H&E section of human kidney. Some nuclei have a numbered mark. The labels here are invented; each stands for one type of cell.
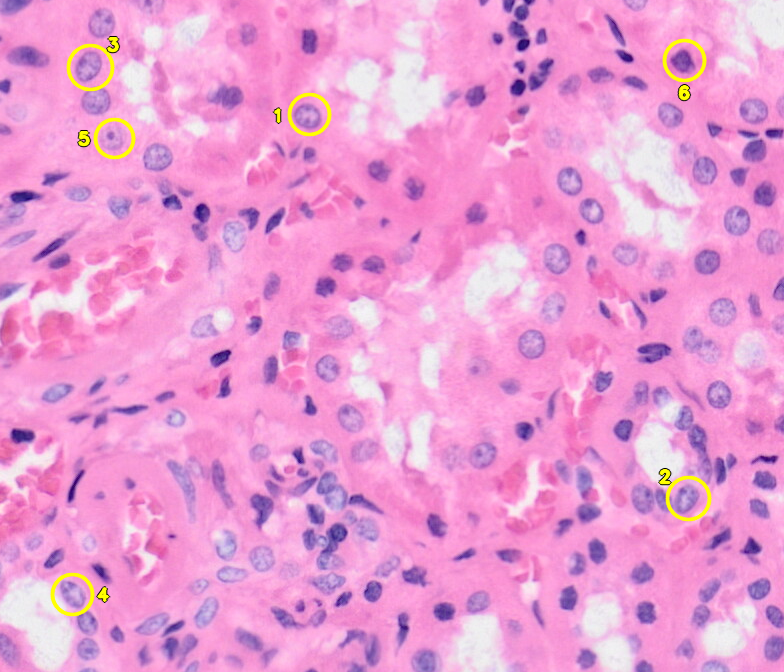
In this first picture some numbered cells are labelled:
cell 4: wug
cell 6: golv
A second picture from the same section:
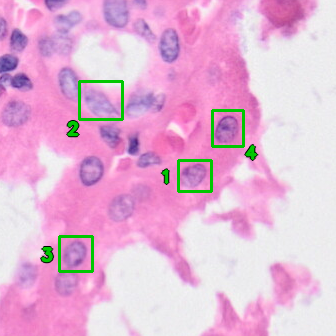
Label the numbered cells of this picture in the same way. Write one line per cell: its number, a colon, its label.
1: golv
2: wug
3: golv
4: golv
